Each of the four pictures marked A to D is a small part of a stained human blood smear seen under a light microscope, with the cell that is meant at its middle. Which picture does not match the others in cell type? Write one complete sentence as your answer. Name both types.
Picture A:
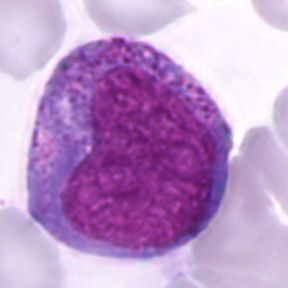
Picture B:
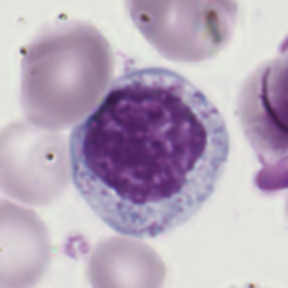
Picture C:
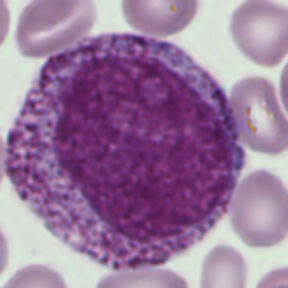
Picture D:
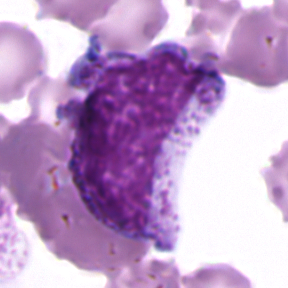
The others show promyelocytes, but picture B shows a myelocyte.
